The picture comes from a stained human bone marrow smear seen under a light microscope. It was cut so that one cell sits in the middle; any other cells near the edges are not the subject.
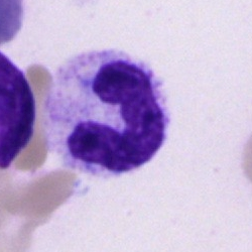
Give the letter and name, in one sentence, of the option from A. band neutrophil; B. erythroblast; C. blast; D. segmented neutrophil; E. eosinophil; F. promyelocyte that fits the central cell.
In the middle of the crop is a band neutrophil; option A is therefore correct.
